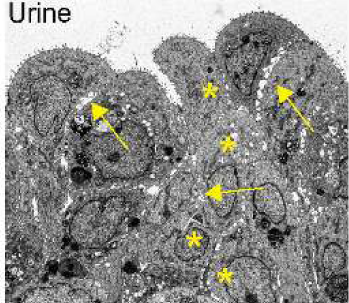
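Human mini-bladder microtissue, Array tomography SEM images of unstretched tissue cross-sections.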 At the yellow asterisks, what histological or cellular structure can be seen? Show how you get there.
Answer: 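Cells lie on top of one another rather than in a single row. On this evidence: tissue stratification.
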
